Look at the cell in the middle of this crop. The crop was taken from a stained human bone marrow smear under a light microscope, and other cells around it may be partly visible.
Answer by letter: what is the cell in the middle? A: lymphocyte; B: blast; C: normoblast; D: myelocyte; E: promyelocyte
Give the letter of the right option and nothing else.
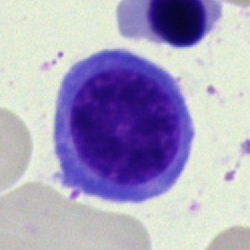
C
